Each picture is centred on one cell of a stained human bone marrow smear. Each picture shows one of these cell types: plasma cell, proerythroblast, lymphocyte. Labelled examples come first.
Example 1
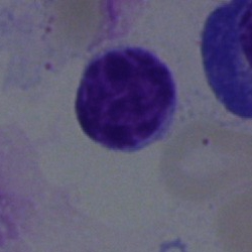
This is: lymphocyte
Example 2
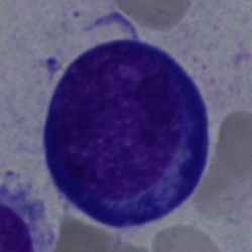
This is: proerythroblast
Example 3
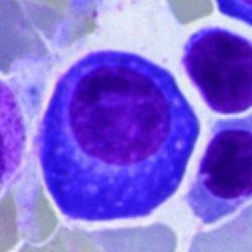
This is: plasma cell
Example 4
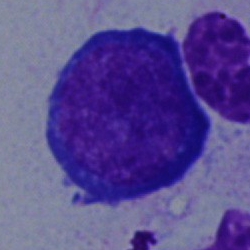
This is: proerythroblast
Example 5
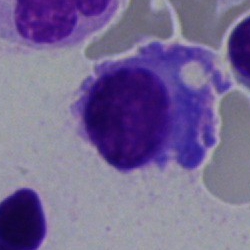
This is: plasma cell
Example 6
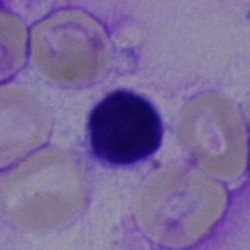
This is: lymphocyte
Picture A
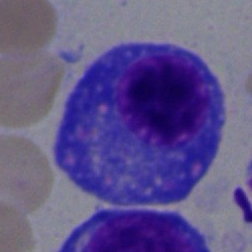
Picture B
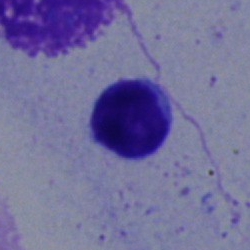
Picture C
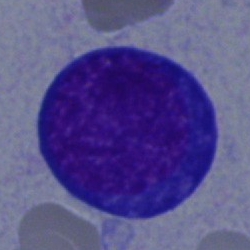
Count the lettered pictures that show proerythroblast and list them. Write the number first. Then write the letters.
1, namely C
